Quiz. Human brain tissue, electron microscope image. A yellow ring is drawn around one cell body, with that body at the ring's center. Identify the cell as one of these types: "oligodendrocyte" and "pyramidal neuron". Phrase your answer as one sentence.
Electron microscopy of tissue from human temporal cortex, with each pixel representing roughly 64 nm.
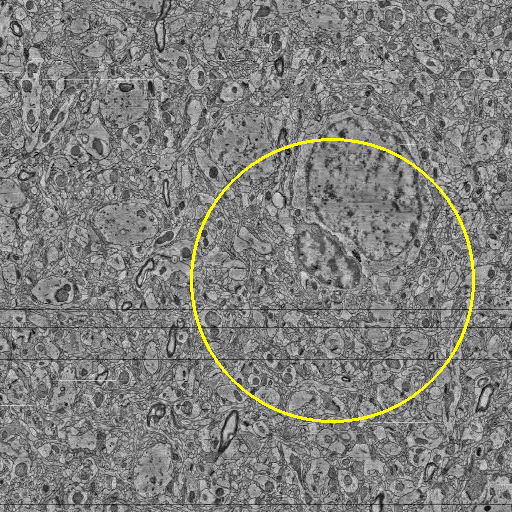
At the center of the ring sits an oligodendrocyte.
